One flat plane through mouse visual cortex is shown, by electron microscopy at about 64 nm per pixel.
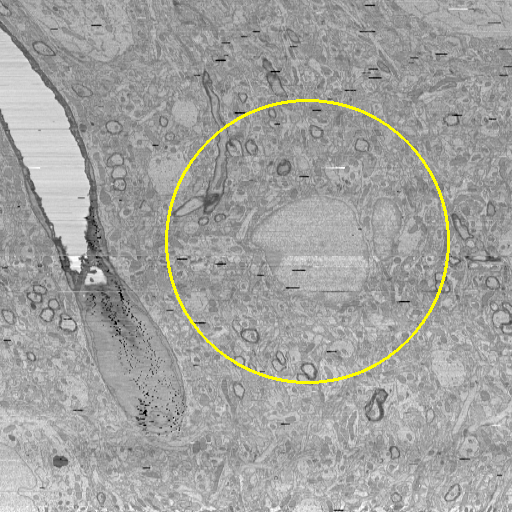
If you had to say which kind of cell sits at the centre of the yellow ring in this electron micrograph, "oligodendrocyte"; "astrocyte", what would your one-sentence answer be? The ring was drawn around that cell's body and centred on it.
The cell sitting at the centre of the ring is an astrocyte.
